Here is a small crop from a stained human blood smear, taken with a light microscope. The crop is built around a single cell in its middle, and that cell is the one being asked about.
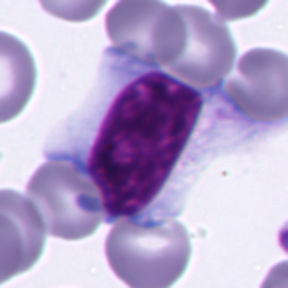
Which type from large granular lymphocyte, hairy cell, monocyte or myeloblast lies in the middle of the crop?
large granular lymphocyte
